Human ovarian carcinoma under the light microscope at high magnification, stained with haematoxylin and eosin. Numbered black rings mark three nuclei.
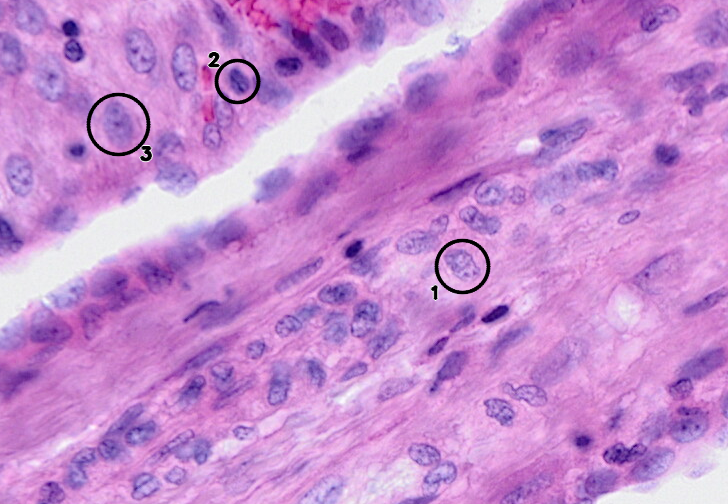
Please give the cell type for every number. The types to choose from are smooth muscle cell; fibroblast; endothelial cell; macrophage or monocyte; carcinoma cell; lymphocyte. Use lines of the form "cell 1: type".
cell 1: fibroblast
cell 2: lymphocyte
cell 3: fibroblast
